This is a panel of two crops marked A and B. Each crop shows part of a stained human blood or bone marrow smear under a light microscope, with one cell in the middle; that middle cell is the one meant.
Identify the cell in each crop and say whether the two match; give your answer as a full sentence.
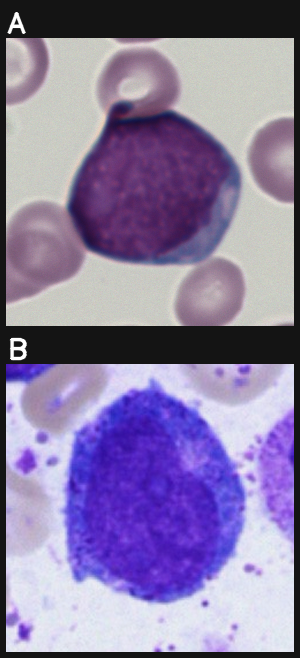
No, crop A corresponds to a blast, while crop B corresponds to a promyelocyte.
